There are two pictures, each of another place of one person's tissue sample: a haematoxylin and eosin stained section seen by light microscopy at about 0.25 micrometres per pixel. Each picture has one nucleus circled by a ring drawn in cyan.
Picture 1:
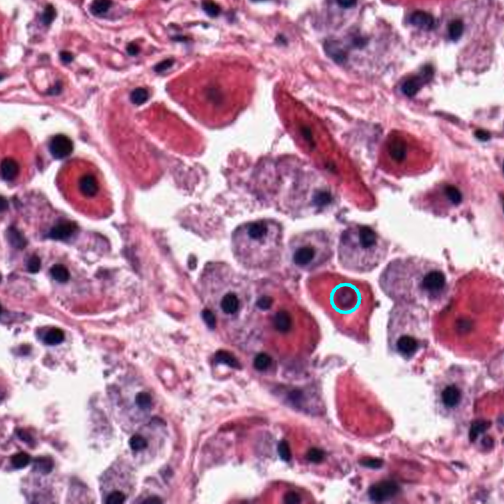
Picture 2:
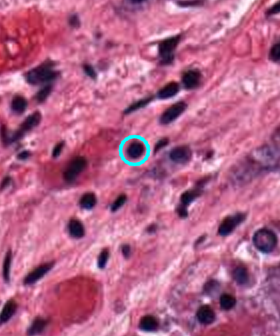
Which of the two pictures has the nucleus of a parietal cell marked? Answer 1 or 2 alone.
1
